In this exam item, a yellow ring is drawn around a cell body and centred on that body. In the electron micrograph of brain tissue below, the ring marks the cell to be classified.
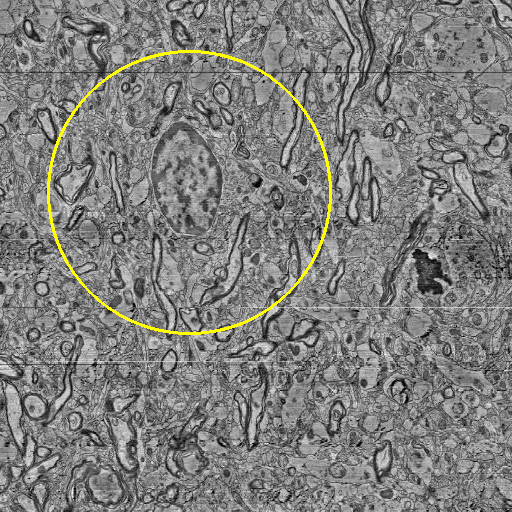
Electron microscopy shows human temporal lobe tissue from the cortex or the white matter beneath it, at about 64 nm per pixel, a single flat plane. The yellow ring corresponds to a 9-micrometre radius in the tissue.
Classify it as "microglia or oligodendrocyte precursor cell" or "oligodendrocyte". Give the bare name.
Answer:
microglia or oligodendrocyte precursor cell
